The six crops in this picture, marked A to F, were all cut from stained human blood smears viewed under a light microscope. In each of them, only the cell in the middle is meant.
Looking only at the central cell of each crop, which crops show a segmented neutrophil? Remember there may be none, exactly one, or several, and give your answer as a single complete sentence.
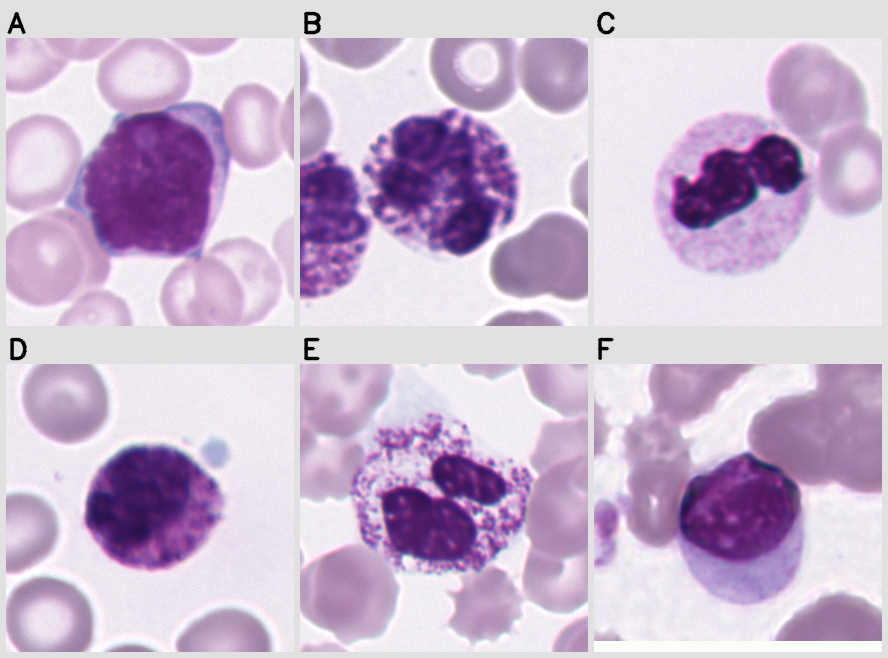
In crops C and E, the central cells are segmented neutrophils.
